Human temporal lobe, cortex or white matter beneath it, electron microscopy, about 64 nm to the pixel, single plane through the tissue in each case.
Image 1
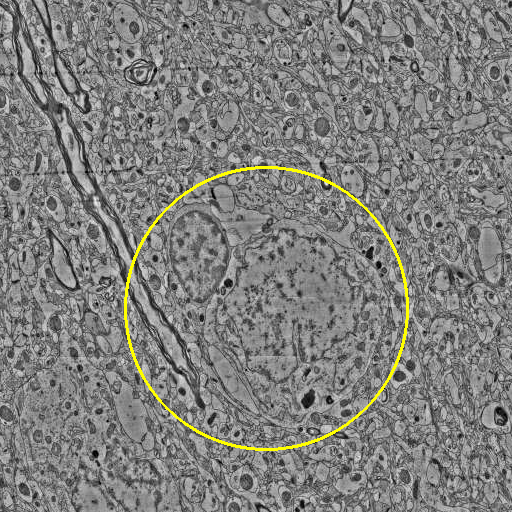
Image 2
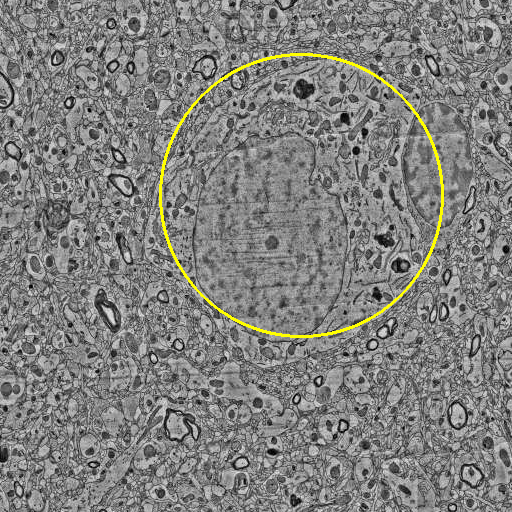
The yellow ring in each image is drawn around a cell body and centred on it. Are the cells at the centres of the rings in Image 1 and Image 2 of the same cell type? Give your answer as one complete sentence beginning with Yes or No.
Yes, both cells are of the same type.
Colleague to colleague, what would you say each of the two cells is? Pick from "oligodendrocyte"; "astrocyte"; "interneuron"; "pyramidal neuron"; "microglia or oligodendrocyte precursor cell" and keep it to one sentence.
Each cell at the centre of a ring is an interneuron.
